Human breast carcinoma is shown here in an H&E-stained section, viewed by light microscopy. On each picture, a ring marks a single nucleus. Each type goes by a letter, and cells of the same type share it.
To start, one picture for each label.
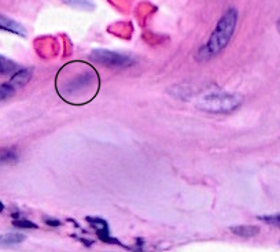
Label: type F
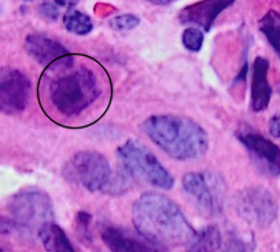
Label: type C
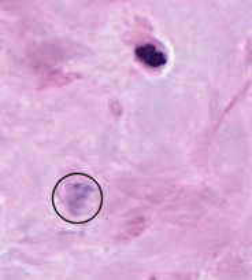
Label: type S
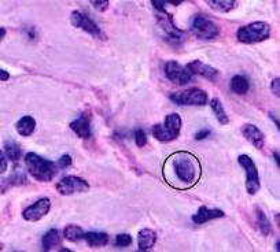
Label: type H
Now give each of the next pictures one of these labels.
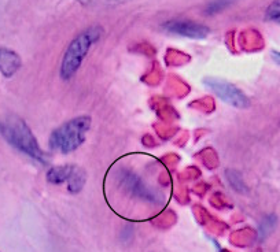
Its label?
type F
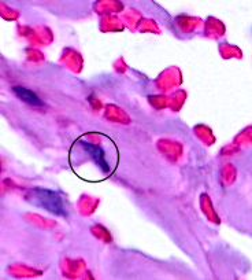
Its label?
type S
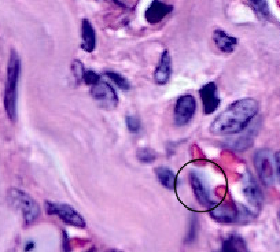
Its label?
type F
